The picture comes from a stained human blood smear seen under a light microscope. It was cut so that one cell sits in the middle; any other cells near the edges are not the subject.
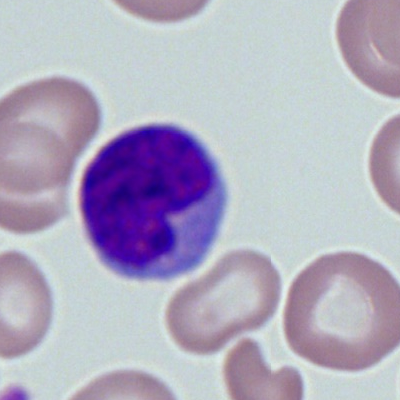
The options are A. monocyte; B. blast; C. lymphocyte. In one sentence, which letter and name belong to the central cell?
The cell right in the middle is a lymphocyte, so option C is the one.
